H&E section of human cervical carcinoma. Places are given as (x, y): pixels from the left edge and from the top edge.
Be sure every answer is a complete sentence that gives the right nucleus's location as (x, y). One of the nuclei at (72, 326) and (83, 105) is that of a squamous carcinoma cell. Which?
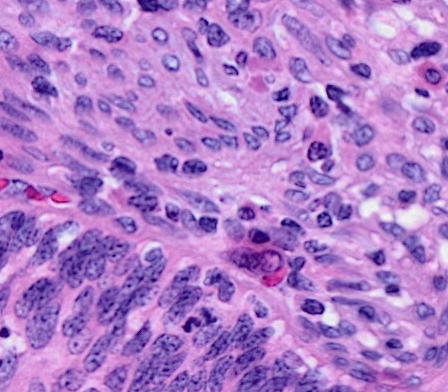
The nucleus belonging to a squamous carcinoma cell is the one at (72, 326).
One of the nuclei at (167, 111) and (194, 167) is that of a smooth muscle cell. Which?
Housed in a smooth muscle cell is the nucleus at (167, 111), not the other one.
